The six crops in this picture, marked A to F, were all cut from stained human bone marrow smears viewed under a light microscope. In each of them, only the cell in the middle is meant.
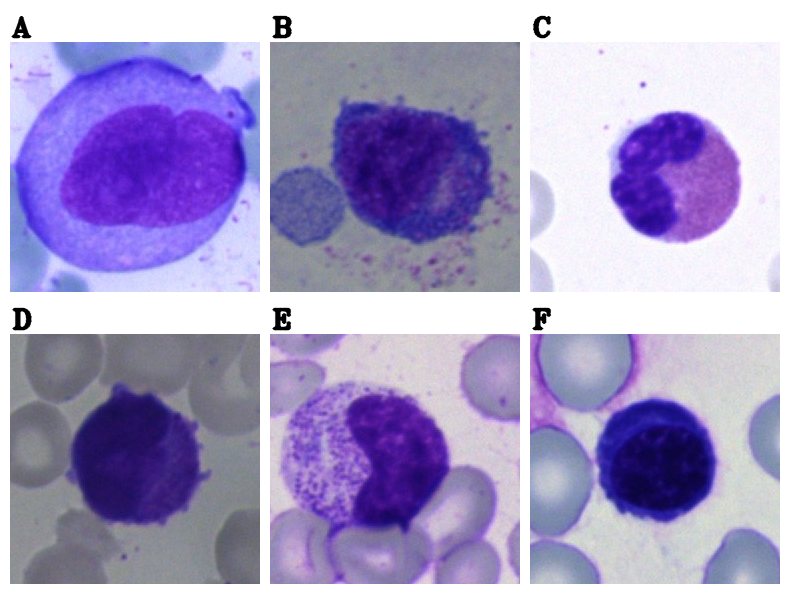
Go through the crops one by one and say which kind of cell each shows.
A: blast
B: promyelocyte
C: eosinophil
D: blast
E: metamyelocyte
F: erythroblast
